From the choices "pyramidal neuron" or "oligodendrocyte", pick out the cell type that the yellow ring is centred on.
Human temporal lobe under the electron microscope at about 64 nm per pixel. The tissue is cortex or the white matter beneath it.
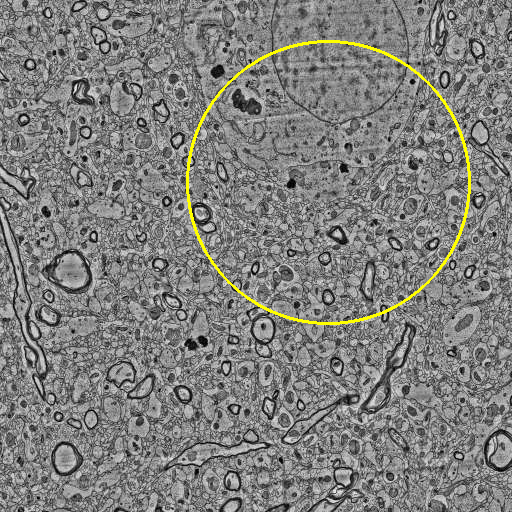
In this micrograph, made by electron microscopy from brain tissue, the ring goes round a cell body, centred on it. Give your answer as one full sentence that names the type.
The yellow ring is centred on an oligodendrocyte, whose cell body it encircles in the picture.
